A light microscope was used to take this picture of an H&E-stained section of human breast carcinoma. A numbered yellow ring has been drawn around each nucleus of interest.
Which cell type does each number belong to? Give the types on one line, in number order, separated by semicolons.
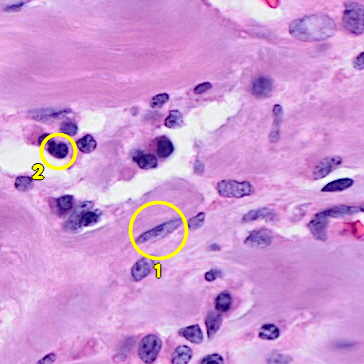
fibroblast; lymphocyte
